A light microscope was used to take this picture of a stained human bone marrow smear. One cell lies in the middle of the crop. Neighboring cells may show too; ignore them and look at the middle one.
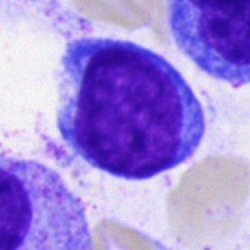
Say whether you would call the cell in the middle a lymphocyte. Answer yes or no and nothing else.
yes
